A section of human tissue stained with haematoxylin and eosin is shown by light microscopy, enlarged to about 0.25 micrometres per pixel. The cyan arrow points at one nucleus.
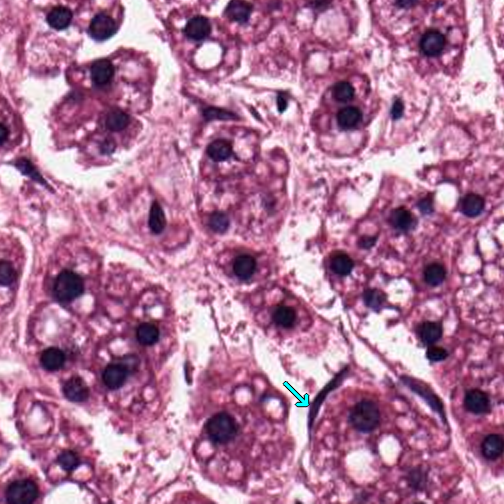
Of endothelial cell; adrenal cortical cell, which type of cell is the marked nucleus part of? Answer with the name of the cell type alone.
endothelial cell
